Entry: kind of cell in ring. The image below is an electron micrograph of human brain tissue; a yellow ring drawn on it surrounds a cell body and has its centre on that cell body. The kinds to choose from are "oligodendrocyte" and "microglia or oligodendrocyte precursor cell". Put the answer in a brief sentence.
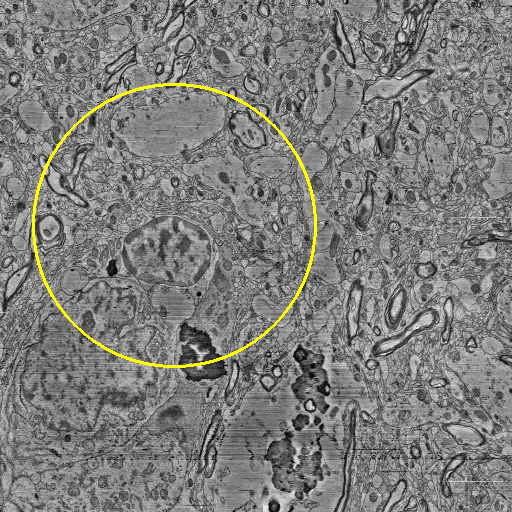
The ring has been drawn around a microglial cell or oligodendrocyte precursor cell.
